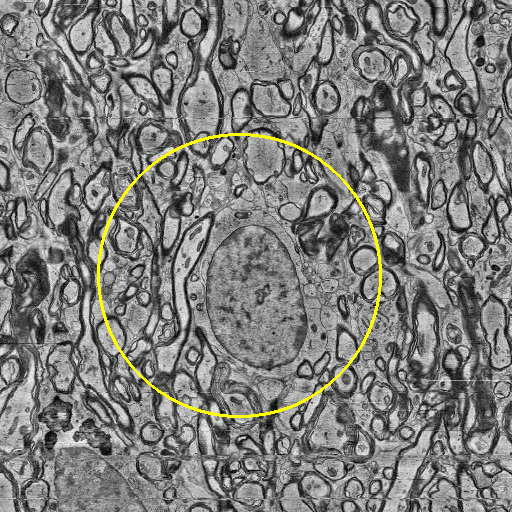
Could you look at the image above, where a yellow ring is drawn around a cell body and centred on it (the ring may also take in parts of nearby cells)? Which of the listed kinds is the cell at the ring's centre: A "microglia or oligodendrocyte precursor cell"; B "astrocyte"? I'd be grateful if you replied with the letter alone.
A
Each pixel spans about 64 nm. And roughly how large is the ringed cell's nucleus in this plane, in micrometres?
About 10 by 6 micrometres in this plane; clearly longer than it is wide.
